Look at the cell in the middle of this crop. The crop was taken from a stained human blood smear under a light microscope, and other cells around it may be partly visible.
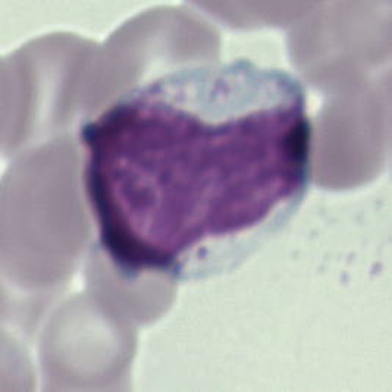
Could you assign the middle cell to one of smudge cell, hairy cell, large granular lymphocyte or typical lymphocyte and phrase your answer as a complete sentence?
What the crop centres on is a large granular lymphocyte.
